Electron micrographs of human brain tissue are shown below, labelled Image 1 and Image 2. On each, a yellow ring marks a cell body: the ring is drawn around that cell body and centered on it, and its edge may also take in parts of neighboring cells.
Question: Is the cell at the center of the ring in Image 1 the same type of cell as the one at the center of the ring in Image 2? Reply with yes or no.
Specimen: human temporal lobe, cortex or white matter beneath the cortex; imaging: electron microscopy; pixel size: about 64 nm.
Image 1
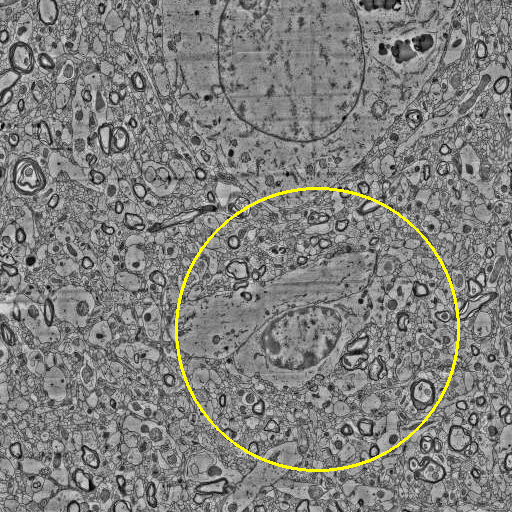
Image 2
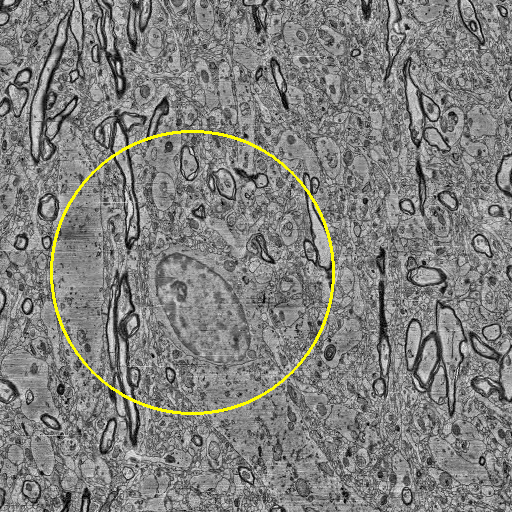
no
